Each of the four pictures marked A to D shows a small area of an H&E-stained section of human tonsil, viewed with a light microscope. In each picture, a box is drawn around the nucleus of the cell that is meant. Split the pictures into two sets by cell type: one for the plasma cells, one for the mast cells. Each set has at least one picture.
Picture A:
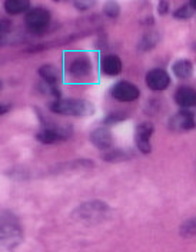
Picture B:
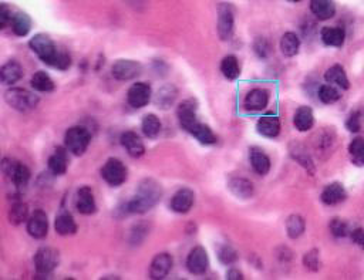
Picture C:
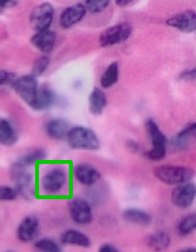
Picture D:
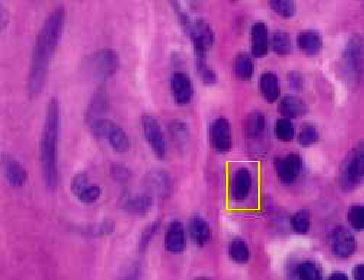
A: plasma cell
B: plasma cell
C: plasma cell
D: mast cell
